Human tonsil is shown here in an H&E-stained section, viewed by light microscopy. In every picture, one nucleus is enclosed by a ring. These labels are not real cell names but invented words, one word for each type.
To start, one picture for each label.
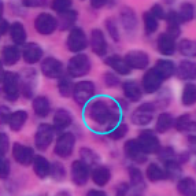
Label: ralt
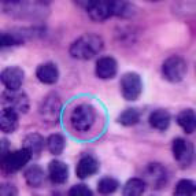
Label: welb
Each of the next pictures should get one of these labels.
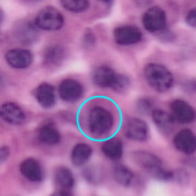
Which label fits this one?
welb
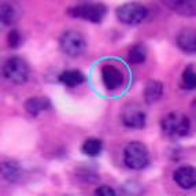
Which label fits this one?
welb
